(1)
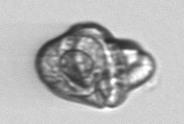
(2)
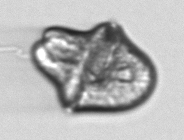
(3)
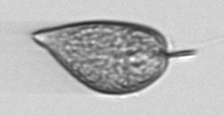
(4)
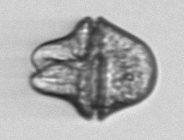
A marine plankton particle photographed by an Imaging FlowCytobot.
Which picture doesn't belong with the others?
Picture 3.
